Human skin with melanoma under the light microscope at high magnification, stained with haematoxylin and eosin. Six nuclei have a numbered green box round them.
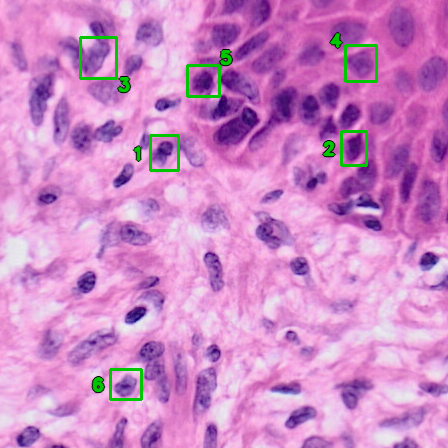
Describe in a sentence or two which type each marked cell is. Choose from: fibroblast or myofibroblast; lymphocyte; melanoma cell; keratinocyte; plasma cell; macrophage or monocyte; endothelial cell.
Cells 1 and 6 are lymphocytes. Cells 2, 4 and 5 are keratinocytes. Cell 3 is an endothelial cell.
